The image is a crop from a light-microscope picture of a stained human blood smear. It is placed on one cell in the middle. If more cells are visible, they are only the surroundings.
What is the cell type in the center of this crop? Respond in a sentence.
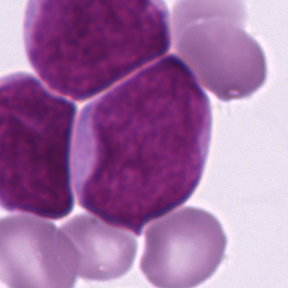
What sits at the centre of this crop is a myeloblast.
